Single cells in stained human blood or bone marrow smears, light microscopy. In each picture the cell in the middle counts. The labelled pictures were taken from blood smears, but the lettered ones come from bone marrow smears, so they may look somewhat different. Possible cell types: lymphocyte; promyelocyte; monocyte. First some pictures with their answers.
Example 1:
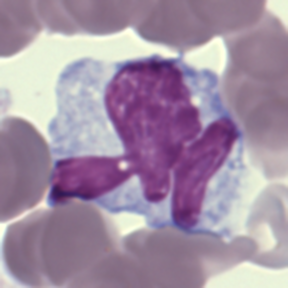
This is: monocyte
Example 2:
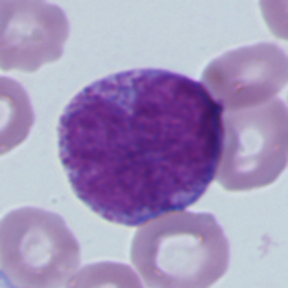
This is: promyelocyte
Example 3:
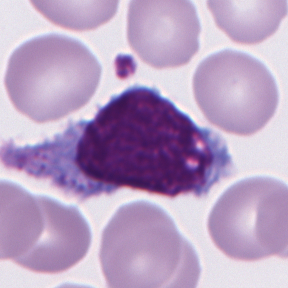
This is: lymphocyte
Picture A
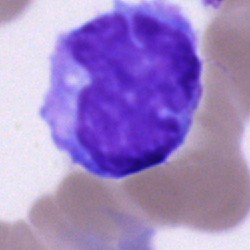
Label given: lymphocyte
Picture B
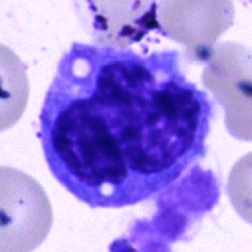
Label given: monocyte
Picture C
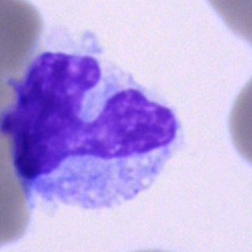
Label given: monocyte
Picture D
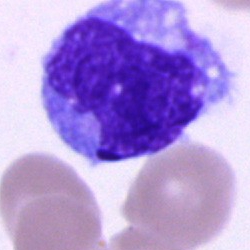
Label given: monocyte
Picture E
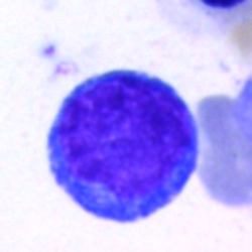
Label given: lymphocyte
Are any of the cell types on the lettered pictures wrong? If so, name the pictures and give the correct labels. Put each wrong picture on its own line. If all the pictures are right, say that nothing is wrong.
A is labelled lymphocyte; correct label: monocyte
